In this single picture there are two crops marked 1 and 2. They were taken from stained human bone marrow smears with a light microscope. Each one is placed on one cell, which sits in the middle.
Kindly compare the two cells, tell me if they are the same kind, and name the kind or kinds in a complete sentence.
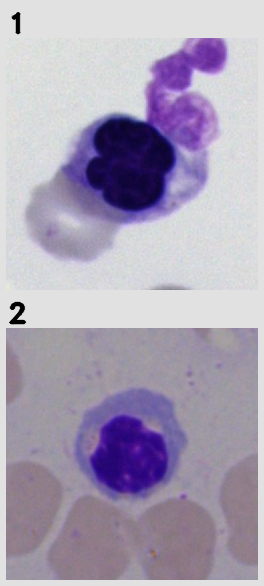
Yes, in both crops the centred cells are erythroblasts.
